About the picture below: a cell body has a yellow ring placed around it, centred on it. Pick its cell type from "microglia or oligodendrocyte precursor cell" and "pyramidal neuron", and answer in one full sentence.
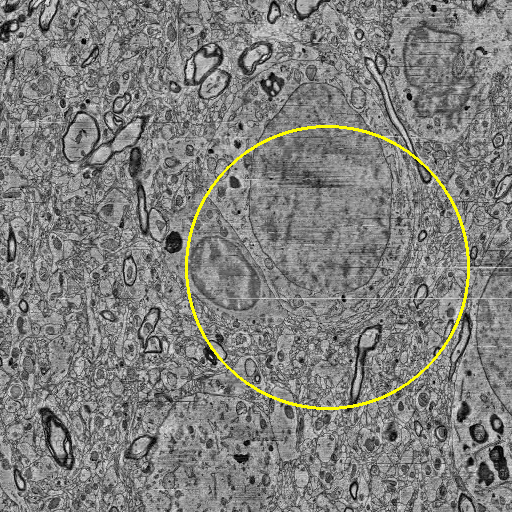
In the picture, a pyramidal neuron is the cell sitting at the centre of the yellow ring.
